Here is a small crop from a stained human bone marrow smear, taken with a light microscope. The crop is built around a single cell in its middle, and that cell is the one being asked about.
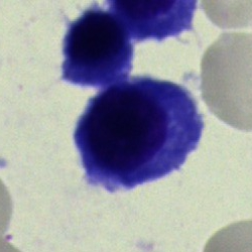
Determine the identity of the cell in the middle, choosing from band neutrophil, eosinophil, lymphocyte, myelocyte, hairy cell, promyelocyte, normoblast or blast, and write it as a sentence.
The cell centred in this crop is categorized as a normoblast.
